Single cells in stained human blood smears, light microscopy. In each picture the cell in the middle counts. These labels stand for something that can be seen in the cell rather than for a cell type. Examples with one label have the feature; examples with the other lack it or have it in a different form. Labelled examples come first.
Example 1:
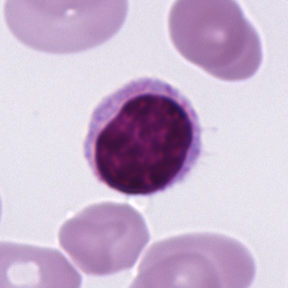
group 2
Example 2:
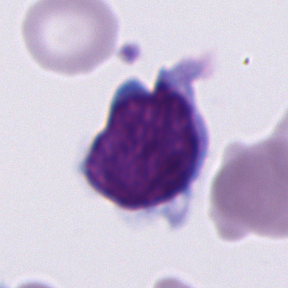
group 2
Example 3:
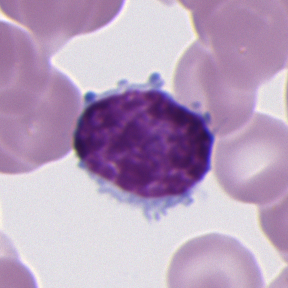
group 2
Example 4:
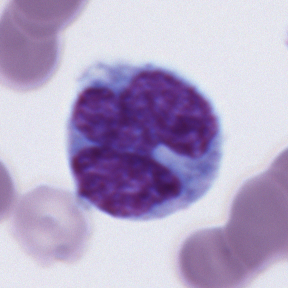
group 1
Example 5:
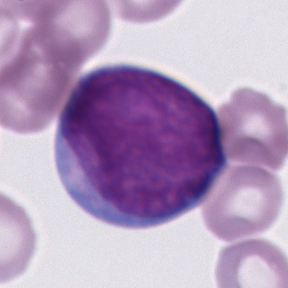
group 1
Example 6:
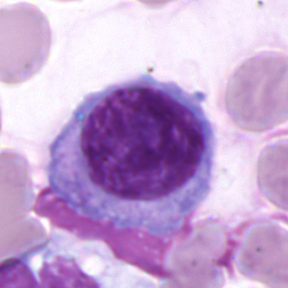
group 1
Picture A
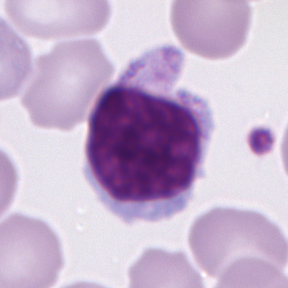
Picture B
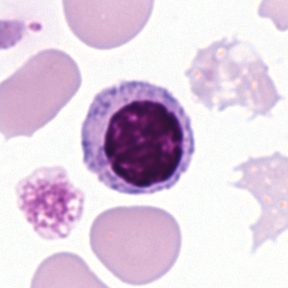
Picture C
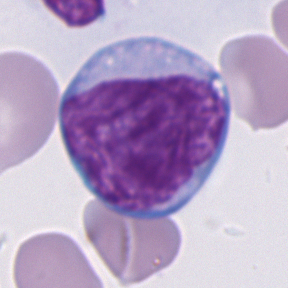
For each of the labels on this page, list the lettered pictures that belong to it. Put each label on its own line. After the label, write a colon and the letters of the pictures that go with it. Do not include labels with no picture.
group 2: A, B
group 1: C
